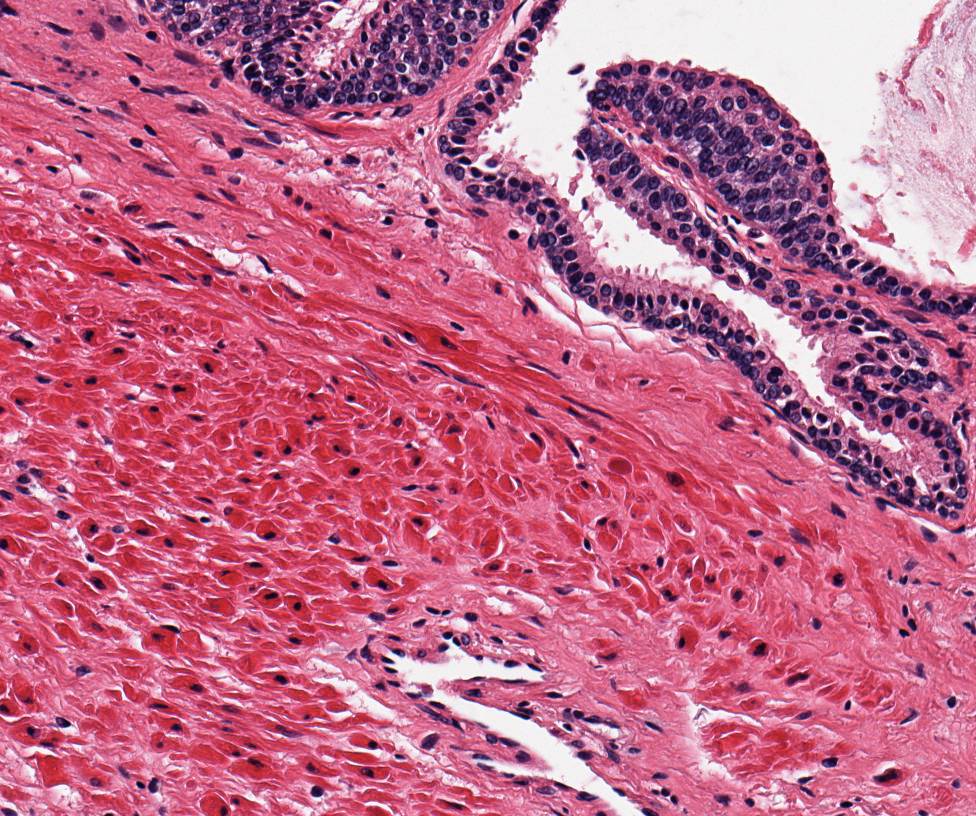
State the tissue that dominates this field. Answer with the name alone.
fibromuscular stroma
